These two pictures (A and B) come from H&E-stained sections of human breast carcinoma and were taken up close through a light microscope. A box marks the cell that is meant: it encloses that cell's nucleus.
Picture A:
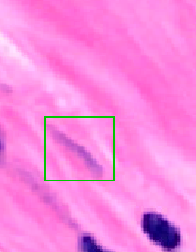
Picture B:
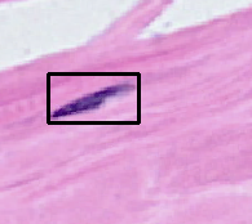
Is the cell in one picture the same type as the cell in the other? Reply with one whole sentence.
Yes, both are fibroblasts.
